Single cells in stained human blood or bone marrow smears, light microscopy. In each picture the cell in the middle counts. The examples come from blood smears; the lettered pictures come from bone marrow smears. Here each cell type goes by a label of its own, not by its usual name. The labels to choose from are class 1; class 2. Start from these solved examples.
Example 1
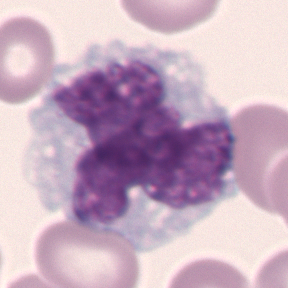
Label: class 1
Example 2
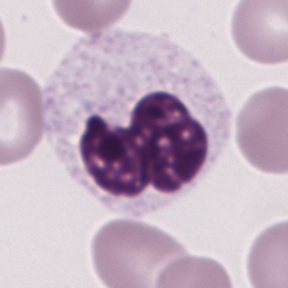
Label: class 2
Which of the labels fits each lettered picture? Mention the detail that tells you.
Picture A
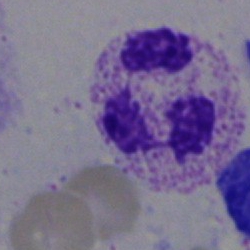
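Answer: class 2. The cytoplasm is plentiful and pale pinkish-lilac.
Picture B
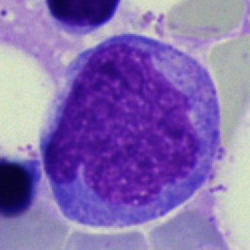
Answer: class 1. The nucleus fills most of the cell.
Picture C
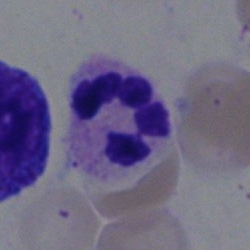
Answer: class 2. The cytoplasm is plentiful and pale pinkish-lilac.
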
